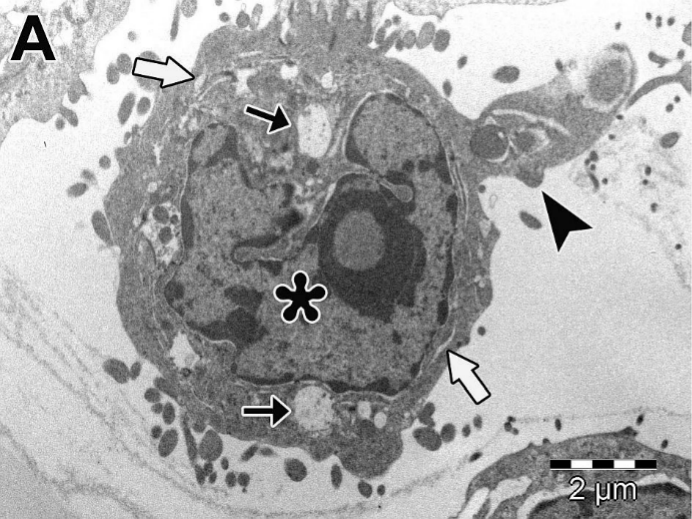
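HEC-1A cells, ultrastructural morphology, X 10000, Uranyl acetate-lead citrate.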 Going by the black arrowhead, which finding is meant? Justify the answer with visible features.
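Blebbing of apoptotic bodies. The arrowhead points to a membrane-bound bud protruding from the cell surface. The bud contains cytoplasm and organelle-like profiles.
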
